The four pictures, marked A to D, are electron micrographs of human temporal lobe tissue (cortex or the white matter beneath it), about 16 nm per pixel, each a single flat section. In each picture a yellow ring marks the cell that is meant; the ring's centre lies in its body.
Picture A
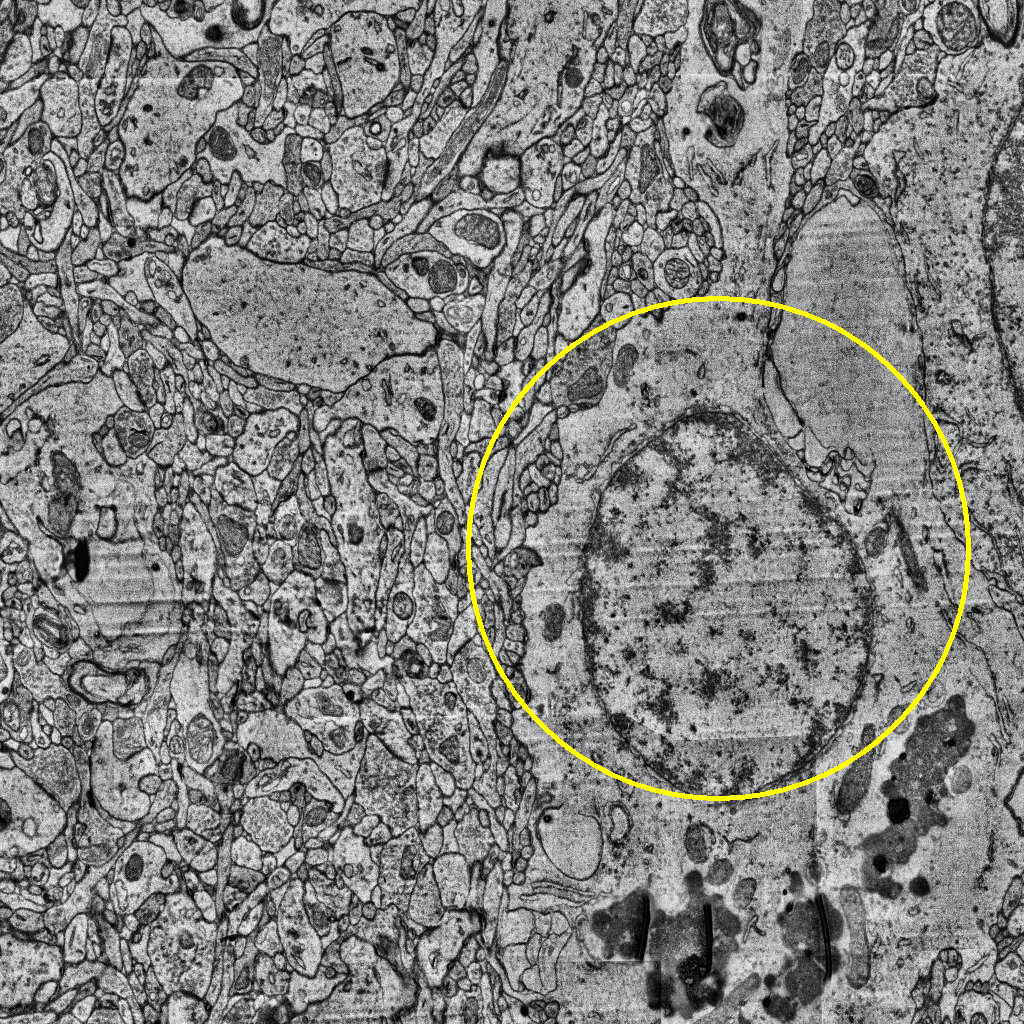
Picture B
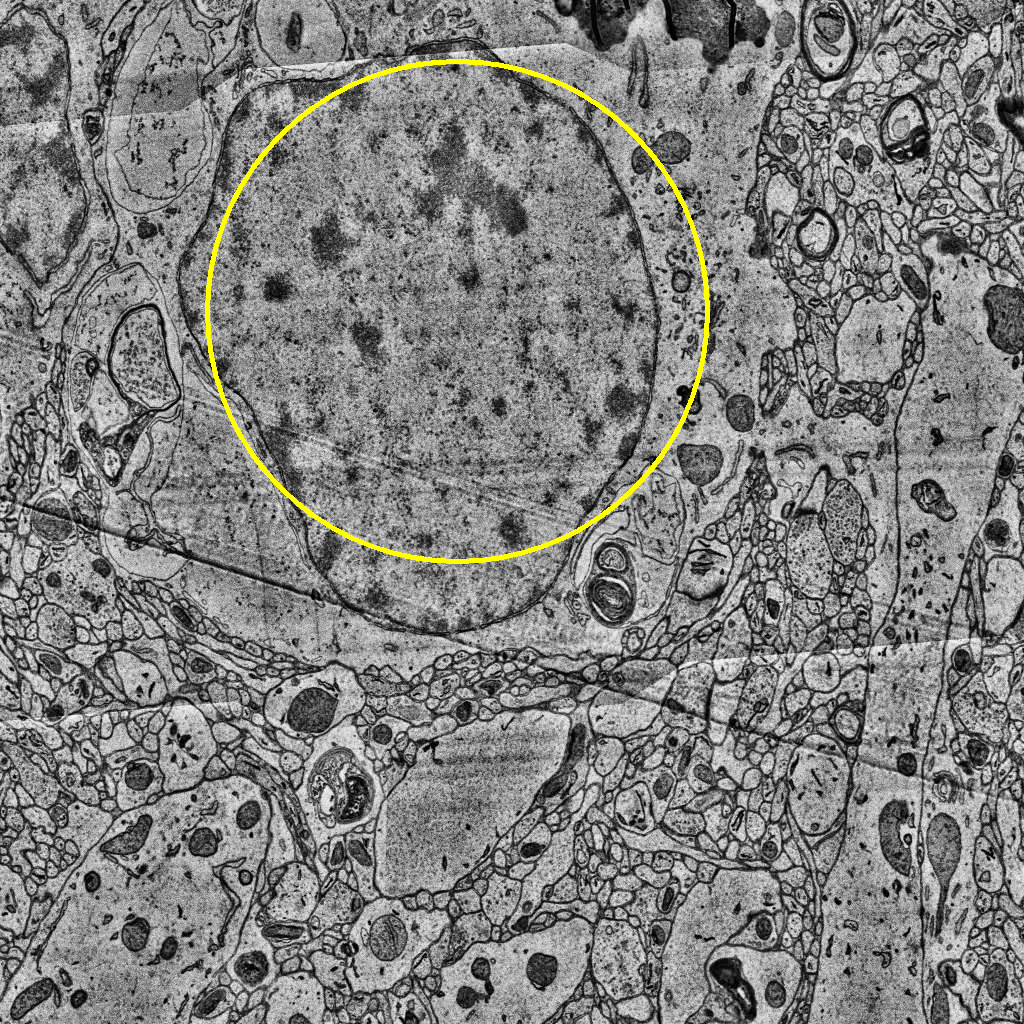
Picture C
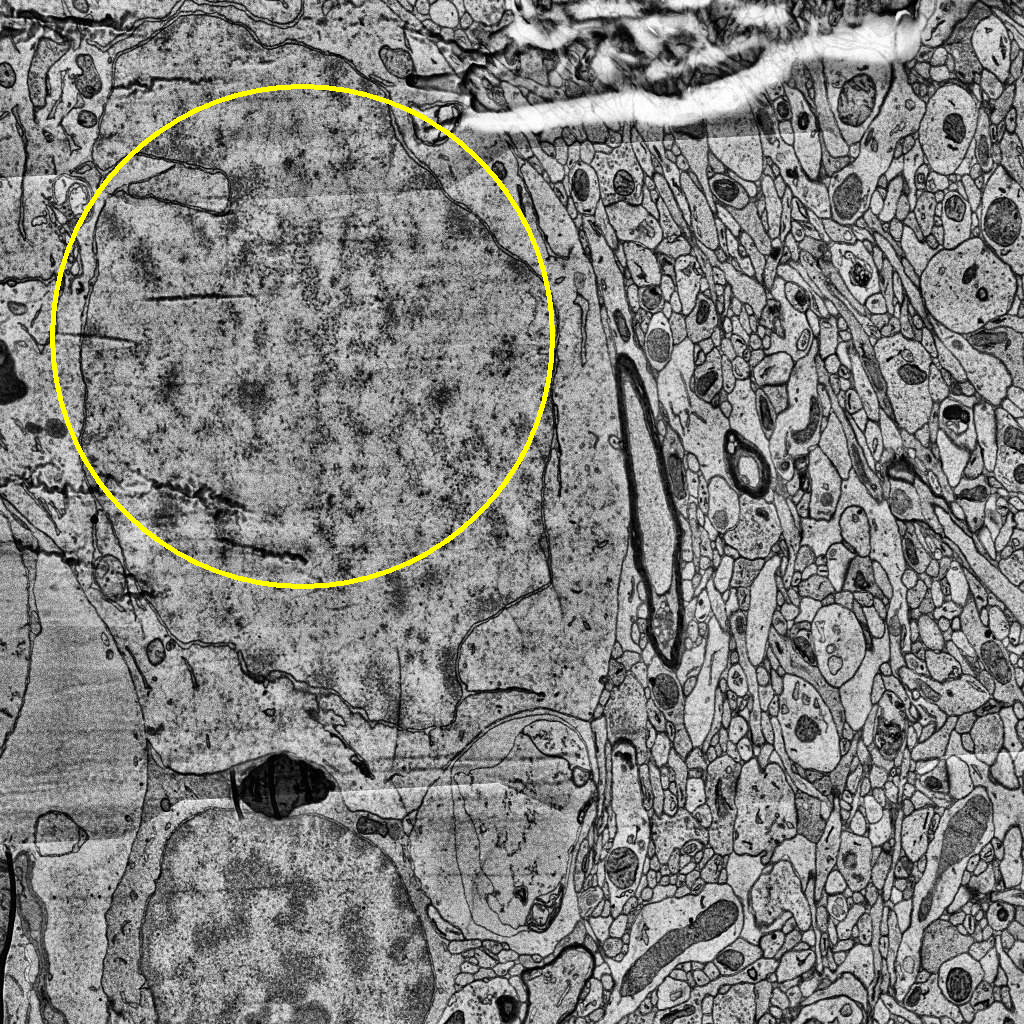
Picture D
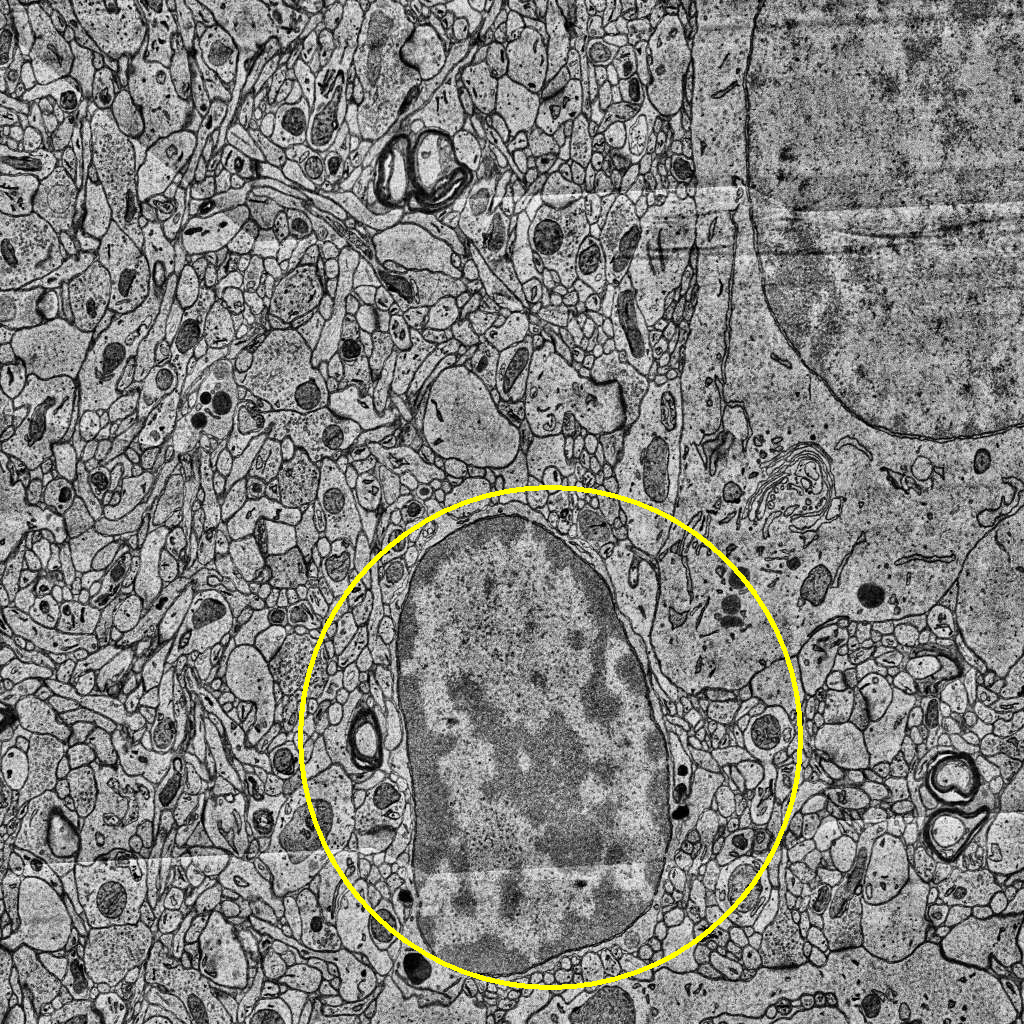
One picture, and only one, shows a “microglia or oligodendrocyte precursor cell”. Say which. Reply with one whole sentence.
The “microglia or oligodendrocyte precursor cell” is the one in picture D.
